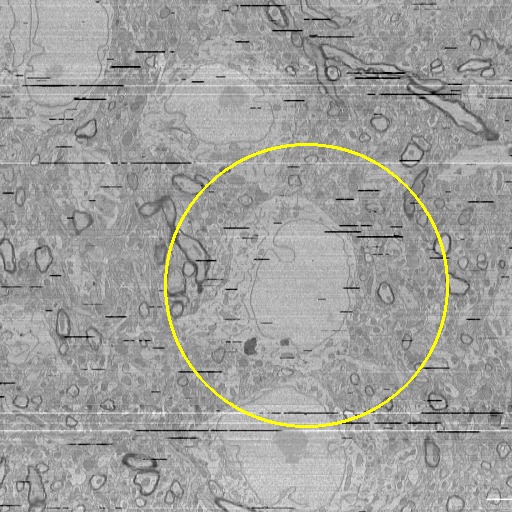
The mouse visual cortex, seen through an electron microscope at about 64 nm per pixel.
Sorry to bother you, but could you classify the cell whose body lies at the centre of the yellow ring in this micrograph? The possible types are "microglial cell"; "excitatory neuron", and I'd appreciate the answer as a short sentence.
The ringed cell body is that of an excitatory neuron.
